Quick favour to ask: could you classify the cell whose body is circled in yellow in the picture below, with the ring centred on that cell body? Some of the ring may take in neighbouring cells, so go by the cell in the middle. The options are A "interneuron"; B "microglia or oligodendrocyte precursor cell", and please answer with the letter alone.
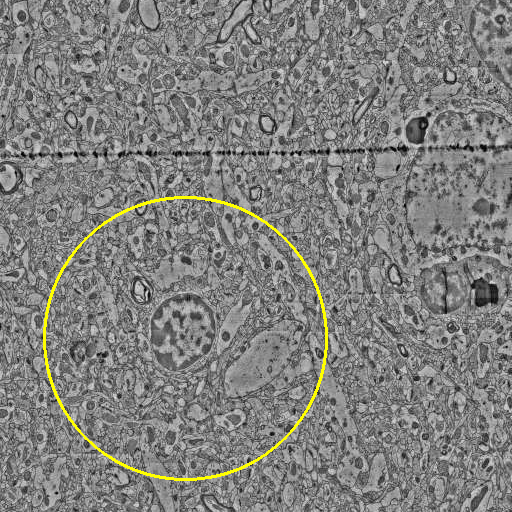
B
